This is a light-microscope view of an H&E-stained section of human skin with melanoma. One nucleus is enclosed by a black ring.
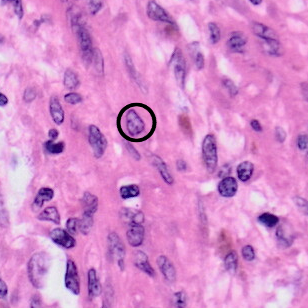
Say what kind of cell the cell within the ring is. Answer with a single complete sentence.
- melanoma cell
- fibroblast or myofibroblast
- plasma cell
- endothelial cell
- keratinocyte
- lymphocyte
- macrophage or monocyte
Placed in its cell category, the cell within the ring is an endothelial cell.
